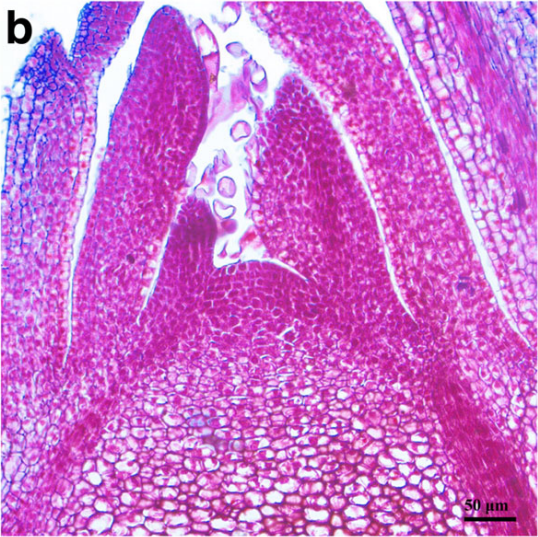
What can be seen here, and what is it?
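The meristem is a small, narrow dome made of tightly packed, small cells whose cytoplasm stains deep pink-magenta. On both flanks, elongated leaf primordia curve upward and reach higher than the dome, enclosing it. Below the dome the cells become larger, rounder and paler, with clear vacuolated interiors, forming the pith-like tissue of the shoot. In the space above the apex lie loose, collapsed fragments of hair-like cells.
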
